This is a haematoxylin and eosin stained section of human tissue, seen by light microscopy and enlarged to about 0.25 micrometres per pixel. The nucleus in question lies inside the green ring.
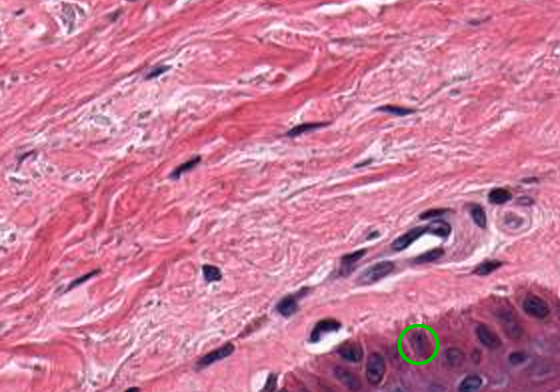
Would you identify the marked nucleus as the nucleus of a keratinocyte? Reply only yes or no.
yes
